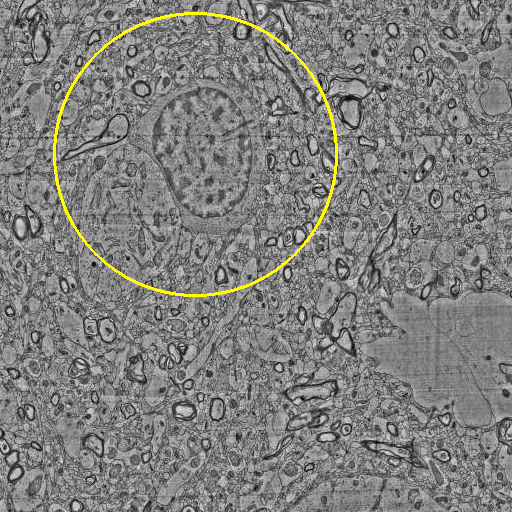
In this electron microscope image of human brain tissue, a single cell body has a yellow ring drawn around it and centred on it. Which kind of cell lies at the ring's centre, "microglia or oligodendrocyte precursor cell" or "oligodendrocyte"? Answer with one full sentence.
It is an oligodendrocyte whose cell body lies at the centre of the yellow ring here.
